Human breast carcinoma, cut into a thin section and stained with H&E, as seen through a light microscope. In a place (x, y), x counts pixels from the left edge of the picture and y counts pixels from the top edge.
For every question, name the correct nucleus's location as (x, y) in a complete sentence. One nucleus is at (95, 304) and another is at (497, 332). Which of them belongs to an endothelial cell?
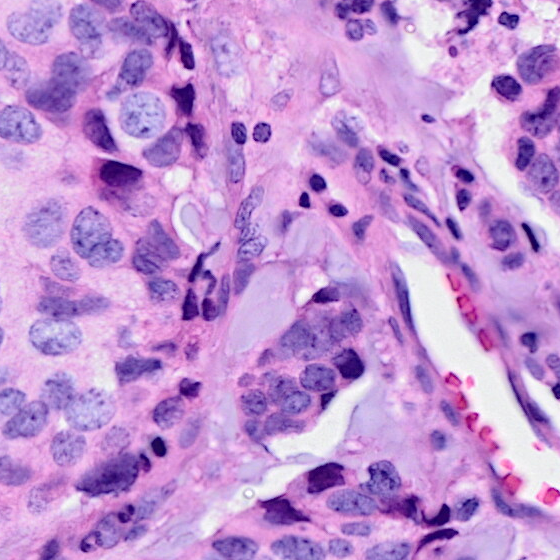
Of the pair, the nucleus positioned at (497, 332) is that of an endothelial cell.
